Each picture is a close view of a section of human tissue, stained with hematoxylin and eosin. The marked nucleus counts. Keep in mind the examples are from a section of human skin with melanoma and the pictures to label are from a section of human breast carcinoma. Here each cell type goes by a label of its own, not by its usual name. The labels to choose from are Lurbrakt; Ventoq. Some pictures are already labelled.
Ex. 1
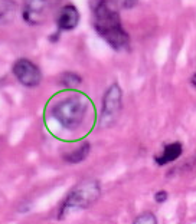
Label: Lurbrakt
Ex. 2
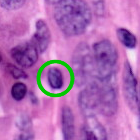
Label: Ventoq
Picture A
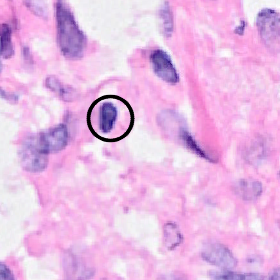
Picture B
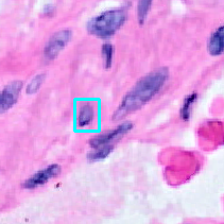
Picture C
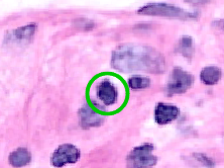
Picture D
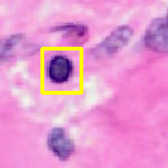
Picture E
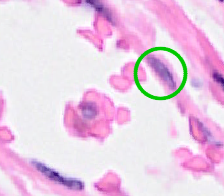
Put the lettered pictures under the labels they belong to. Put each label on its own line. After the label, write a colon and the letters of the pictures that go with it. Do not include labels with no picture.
Lurbrakt: B, E
Ventoq: A, C, D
